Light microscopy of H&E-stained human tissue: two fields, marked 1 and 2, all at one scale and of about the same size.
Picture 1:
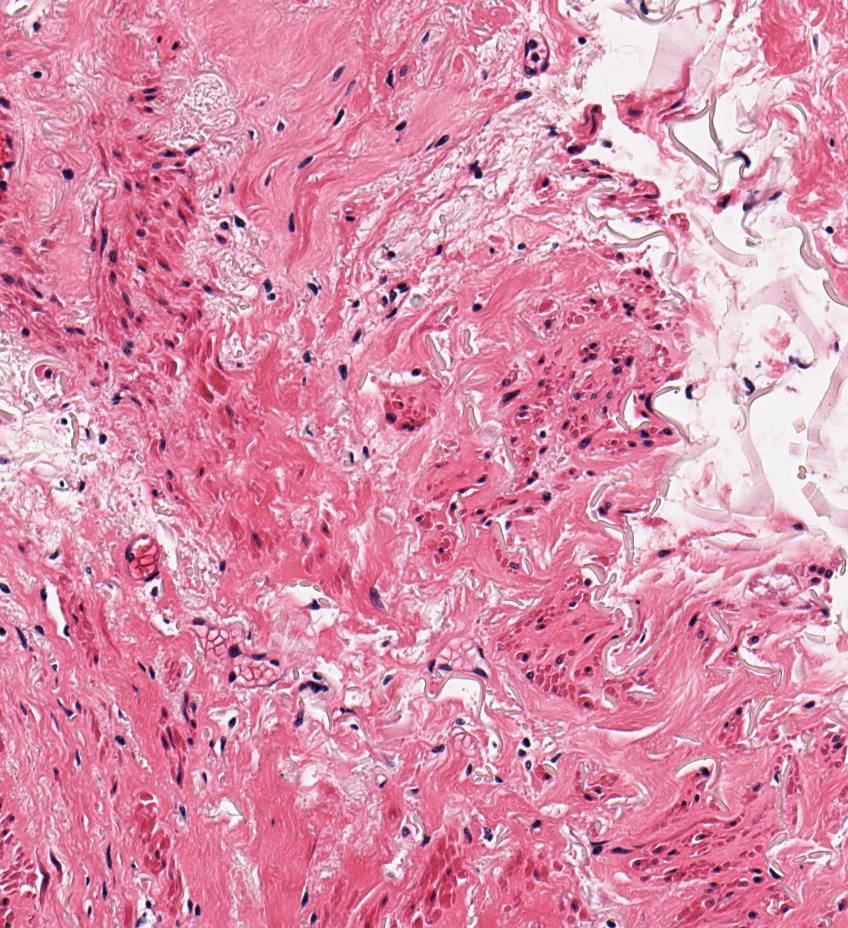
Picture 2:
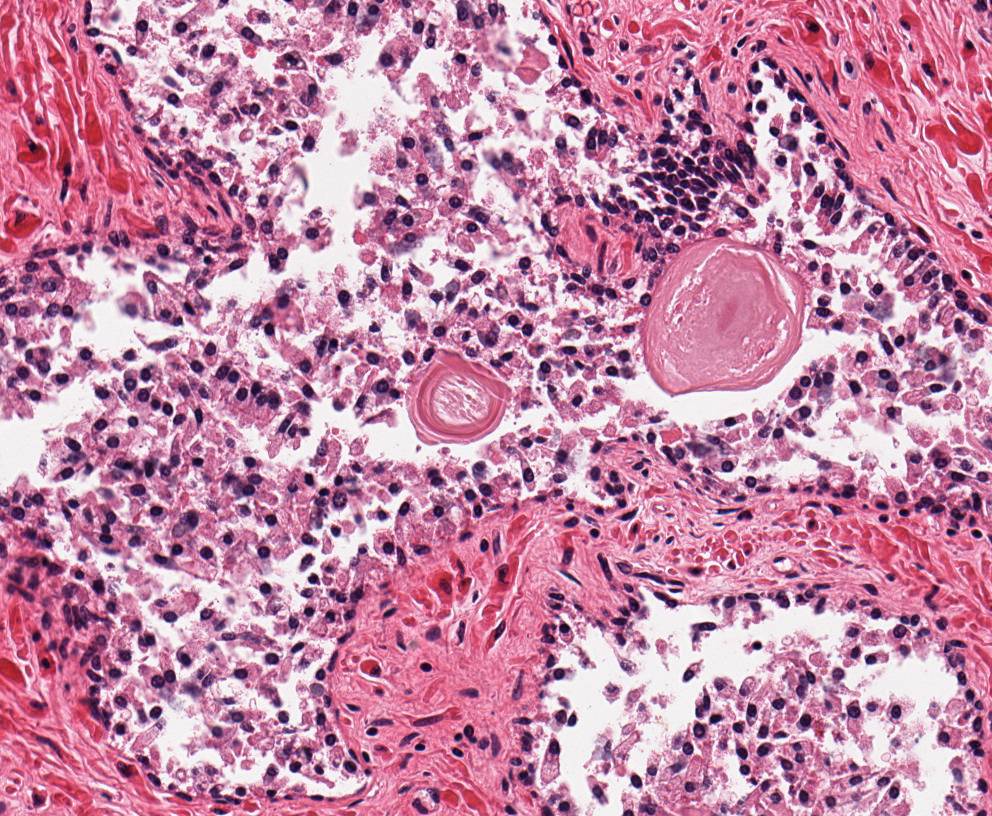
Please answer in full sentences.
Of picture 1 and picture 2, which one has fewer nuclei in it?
There are fewer nuclei in picture 1.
